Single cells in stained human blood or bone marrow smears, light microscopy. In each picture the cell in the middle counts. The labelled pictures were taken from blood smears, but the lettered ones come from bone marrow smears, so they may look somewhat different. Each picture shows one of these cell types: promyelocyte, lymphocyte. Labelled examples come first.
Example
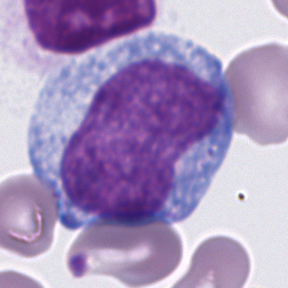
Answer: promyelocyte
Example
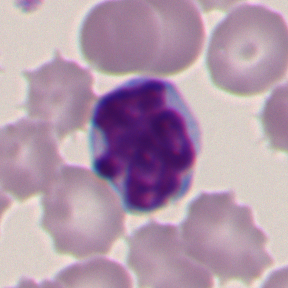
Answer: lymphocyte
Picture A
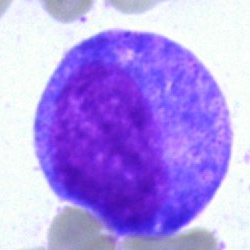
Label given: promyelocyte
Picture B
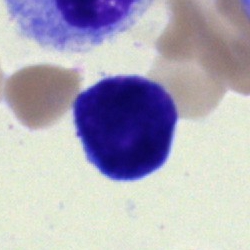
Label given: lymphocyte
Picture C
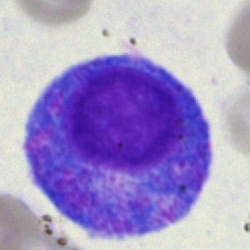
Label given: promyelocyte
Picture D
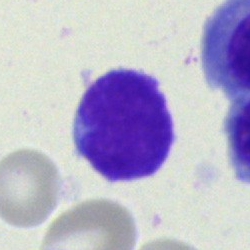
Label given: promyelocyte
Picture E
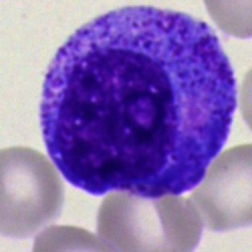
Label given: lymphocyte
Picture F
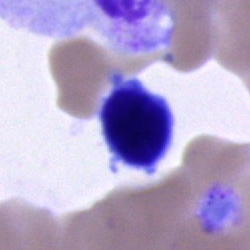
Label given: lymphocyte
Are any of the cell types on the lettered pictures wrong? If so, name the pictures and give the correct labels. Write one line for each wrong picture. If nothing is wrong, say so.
Wrong: D (promyelocyte); correct: lymphocyte
Wrong: E (lymphocyte); correct: promyelocyte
